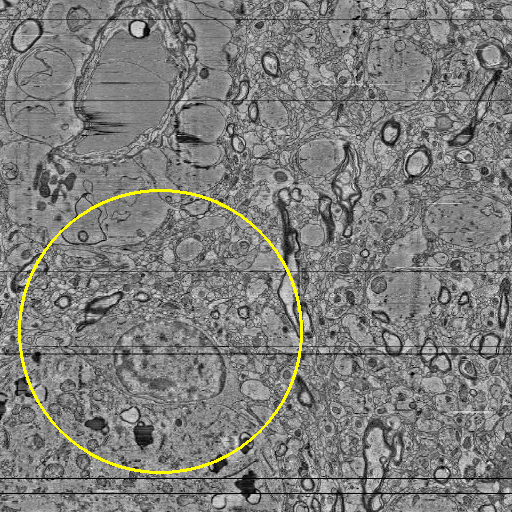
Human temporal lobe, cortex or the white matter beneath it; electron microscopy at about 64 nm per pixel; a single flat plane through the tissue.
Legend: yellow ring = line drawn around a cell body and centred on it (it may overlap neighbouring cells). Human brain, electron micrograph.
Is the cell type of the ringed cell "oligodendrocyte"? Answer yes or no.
yes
